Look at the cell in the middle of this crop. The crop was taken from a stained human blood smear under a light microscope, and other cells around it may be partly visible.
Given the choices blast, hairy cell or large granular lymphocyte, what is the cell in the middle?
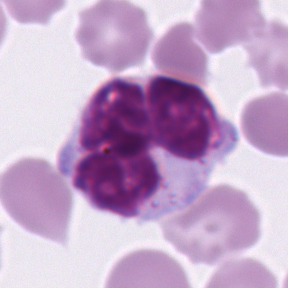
large granular lymphocyte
